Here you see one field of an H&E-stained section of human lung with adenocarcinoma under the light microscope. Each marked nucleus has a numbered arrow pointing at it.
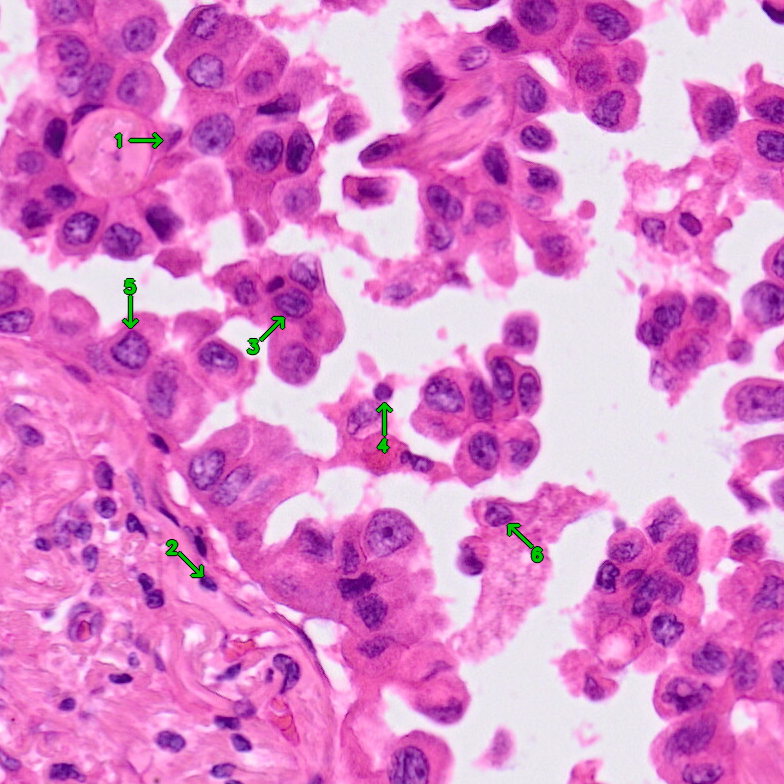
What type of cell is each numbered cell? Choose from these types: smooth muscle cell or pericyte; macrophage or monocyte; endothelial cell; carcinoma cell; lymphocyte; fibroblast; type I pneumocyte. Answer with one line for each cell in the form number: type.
1: carcinoma cell
2: lymphocyte
3: carcinoma cell
4: lymphocyte
5: carcinoma cell
6: macrophage or monocyte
